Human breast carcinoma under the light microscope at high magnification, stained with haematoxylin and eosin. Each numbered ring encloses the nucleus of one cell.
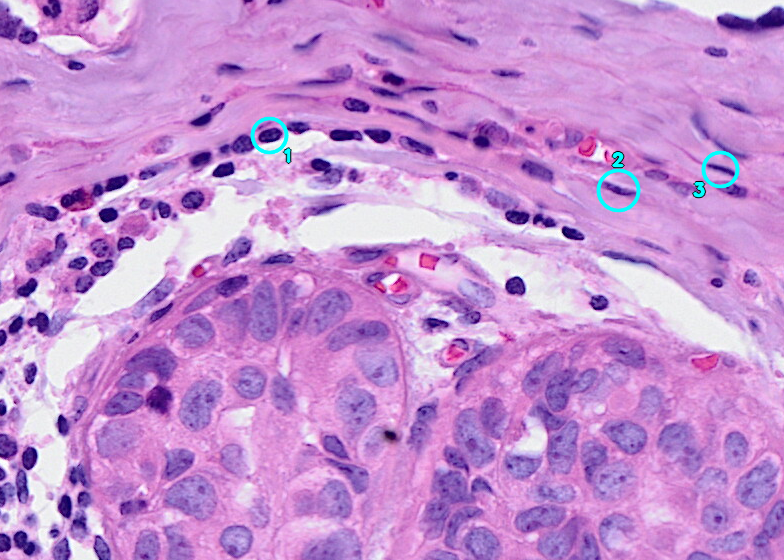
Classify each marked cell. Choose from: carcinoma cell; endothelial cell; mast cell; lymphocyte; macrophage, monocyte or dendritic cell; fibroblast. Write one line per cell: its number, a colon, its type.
1: lymphocyte
2: fibroblast
3: fibroblast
